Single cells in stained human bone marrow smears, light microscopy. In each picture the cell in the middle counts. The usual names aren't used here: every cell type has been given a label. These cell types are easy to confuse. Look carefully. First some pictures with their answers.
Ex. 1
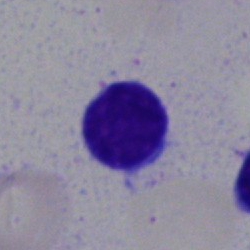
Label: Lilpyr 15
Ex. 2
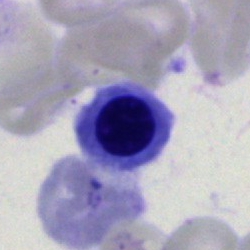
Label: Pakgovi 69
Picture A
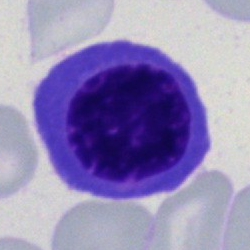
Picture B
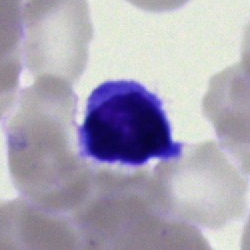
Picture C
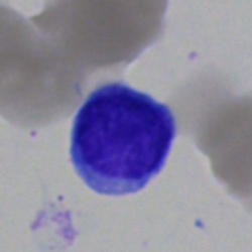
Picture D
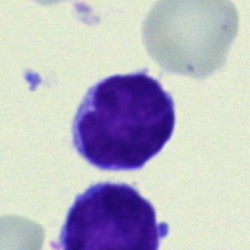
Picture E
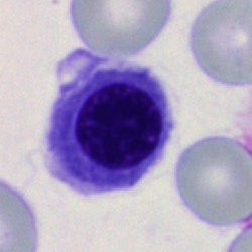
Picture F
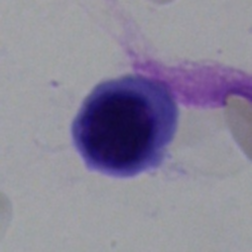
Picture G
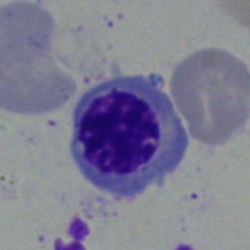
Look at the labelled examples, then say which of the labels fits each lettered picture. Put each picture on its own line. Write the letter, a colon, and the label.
A: Pakgovi 69
B: Lilpyr 15
C: Lilpyr 15
D: Lilpyr 15
E: Pakgovi 69
F: Pakgovi 69
G: Pakgovi 69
